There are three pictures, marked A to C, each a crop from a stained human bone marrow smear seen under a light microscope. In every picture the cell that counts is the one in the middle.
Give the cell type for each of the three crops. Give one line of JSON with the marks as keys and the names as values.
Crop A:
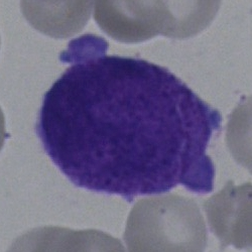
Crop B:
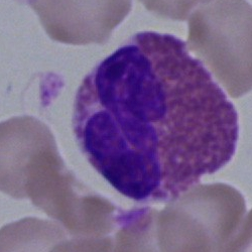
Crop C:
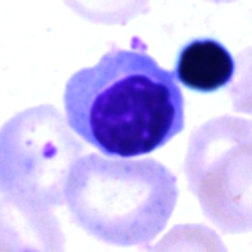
{"A": "blast", "B": "eosinophil", "C": "erythroblast"}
